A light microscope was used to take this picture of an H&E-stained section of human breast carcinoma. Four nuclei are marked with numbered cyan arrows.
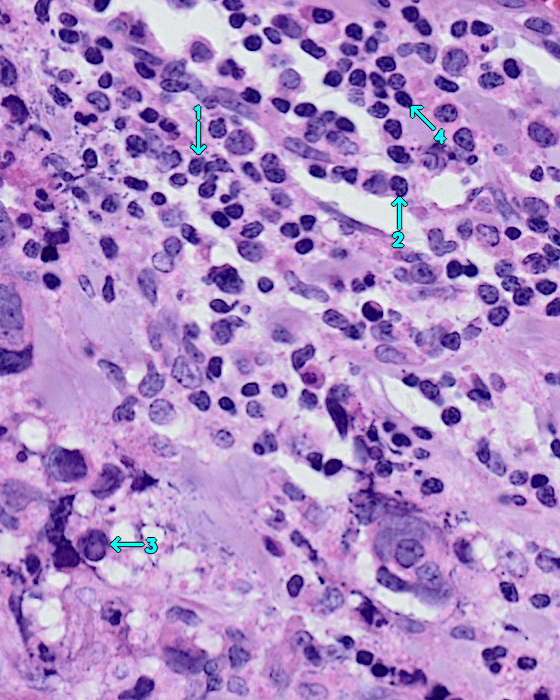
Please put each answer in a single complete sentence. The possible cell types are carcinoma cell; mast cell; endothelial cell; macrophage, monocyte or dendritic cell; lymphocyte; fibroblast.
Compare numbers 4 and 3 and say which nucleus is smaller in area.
Number 4 is smaller, since number 3 takes up about 3 times as much area.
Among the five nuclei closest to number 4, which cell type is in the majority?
The majority of the five nuclei closest to number 4 belong to lymphocytes.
